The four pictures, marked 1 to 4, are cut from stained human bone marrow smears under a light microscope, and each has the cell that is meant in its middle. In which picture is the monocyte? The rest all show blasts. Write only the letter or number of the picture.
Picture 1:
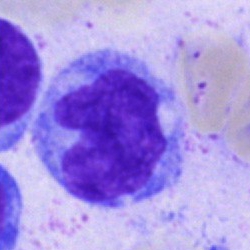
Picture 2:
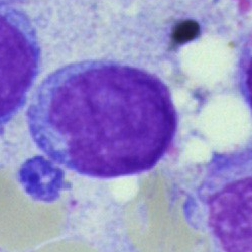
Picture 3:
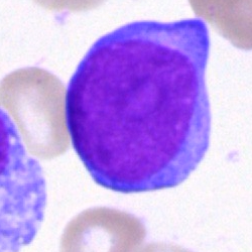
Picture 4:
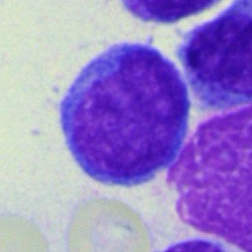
1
